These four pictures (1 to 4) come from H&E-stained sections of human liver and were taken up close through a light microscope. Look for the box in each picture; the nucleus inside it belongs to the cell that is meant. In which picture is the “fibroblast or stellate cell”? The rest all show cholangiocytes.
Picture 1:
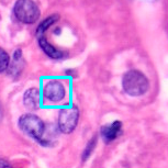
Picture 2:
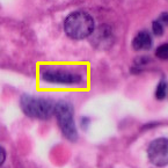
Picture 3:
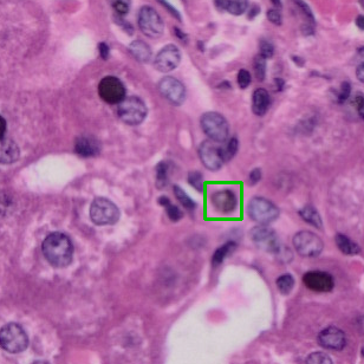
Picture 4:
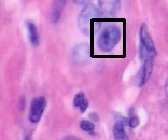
2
